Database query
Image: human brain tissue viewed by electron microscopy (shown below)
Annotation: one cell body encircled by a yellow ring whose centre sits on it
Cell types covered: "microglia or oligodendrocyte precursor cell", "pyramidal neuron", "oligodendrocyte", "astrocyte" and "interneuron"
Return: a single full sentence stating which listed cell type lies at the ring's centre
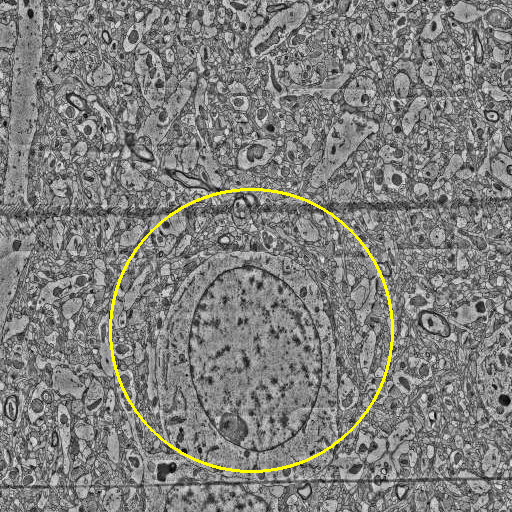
In the image, the cell lying at the ring's centre is a pyramidal neuron.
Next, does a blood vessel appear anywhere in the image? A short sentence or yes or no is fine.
No, none shows.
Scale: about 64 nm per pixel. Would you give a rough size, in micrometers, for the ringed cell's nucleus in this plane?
In this plane, roughly 12 by 9 micrometres.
